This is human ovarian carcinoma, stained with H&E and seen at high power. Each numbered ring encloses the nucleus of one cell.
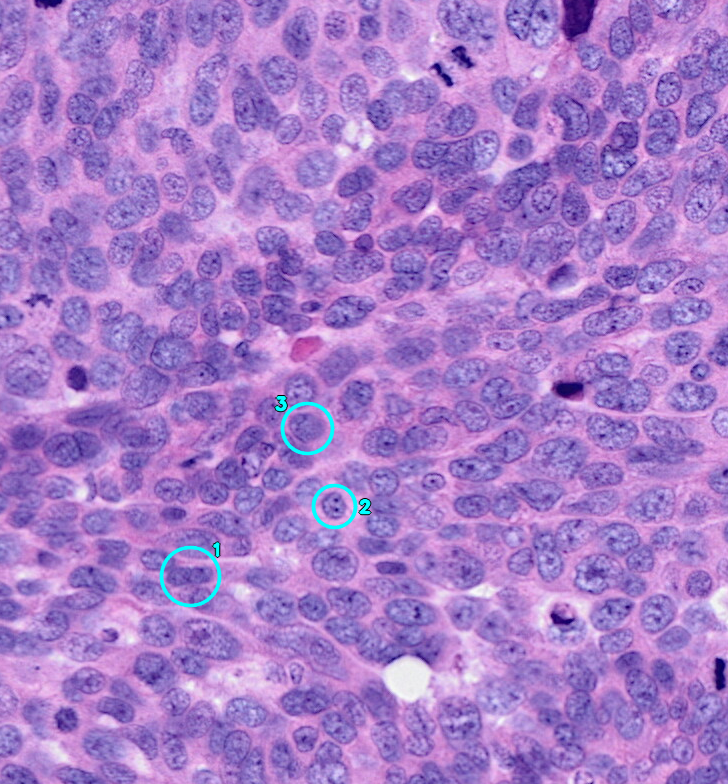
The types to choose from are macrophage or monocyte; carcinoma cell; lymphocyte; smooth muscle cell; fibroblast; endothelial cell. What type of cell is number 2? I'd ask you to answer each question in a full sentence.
The numbered cell 2 is identified here as a macrophage or monocyte.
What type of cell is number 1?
What the number 1 marks in this field is a carcinoma cell.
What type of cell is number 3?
The cell carrying label 3 is identified as a carcinoma cell.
